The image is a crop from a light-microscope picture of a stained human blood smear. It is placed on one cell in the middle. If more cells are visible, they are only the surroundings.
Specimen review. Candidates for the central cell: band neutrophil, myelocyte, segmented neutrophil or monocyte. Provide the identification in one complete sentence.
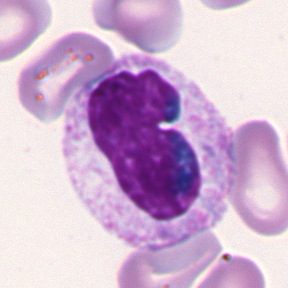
Within this crop, a band neutrophil occupies the central position.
